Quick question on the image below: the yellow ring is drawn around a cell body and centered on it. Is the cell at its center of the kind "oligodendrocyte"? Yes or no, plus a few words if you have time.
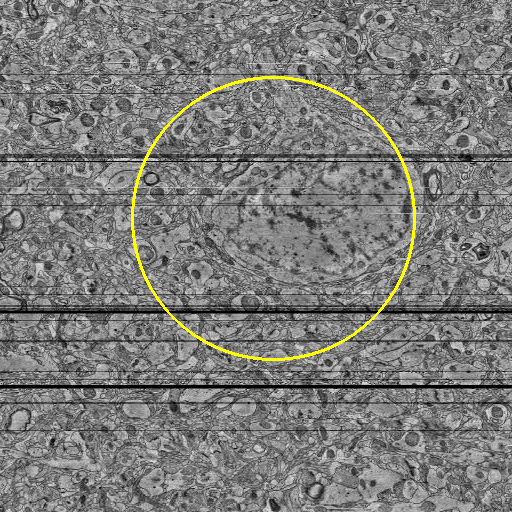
No, the cell at the center is of another kind.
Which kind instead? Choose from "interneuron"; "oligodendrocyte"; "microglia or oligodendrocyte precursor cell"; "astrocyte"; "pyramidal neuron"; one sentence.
The cell in question here is an interneuron.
